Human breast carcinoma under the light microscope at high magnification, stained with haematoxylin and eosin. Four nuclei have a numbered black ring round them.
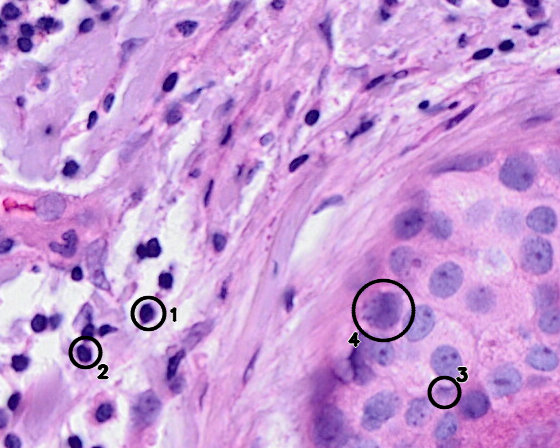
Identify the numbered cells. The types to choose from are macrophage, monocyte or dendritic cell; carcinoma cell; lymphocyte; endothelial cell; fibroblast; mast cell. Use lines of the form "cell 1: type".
cell 1: lymphocyte
cell 2: lymphocyte
cell 3: carcinoma cell
cell 4: carcinoma cell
